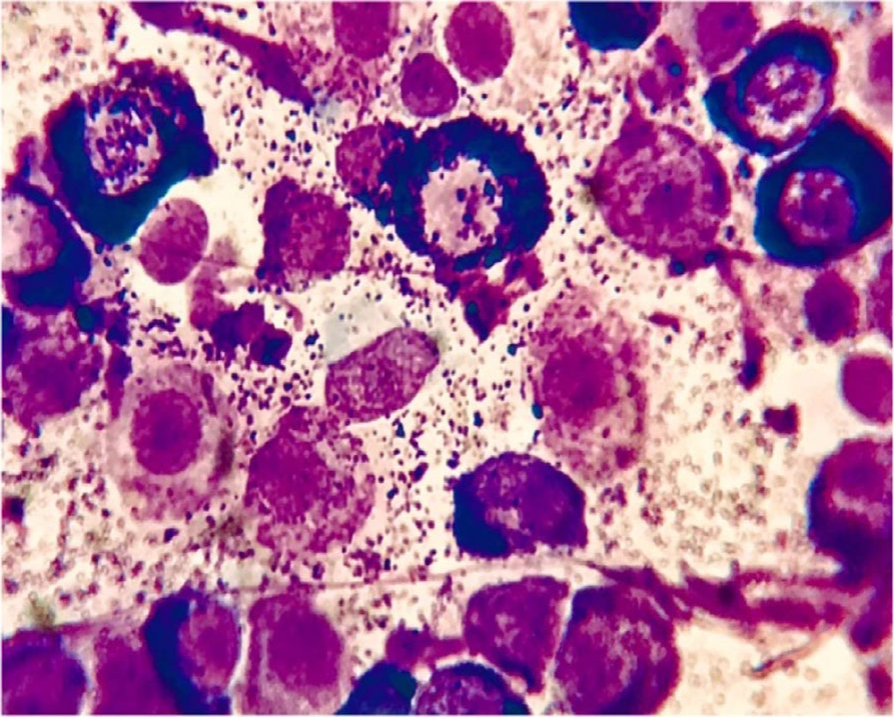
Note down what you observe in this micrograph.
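This is a highly cellular sample of discrete round cells, consistent with mast cells, lying singly rather than in cohesive sheets. Each cell has a round, roughly central nucleus, and its cytoplasm holds fine purple granules; in some cells the granules are so dense that the cytoplasm forms a dark blue-black ring around a paler nucleus, while others look pale pink with only scattered granules. Many loose granules are strewn across the background between the cells. The cells and their nuclei vary mildly in size.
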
